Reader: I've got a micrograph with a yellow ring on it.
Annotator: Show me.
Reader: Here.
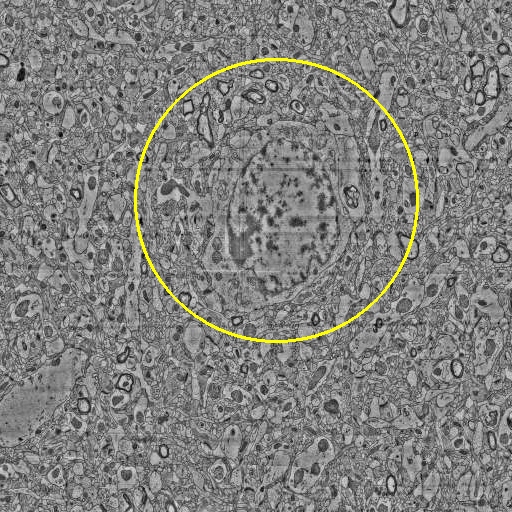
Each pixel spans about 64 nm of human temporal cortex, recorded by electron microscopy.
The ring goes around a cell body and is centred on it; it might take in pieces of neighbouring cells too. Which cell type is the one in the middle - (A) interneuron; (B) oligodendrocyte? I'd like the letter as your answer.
A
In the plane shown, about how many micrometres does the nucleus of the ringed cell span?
The ringed cell's nucleus measures approximately 10 by 7 micrometres in this plane.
